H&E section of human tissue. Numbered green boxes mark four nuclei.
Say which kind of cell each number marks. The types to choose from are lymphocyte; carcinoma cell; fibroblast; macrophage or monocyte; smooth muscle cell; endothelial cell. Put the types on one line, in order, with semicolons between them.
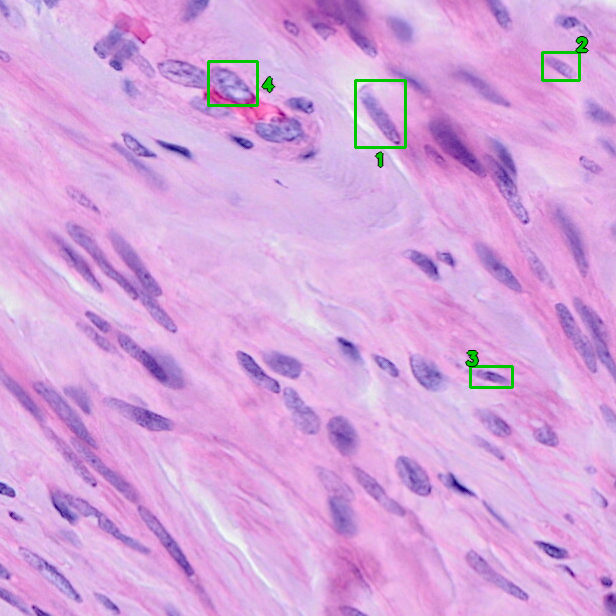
smooth muscle cell; smooth muscle cell; smooth muscle cell; endothelial cell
